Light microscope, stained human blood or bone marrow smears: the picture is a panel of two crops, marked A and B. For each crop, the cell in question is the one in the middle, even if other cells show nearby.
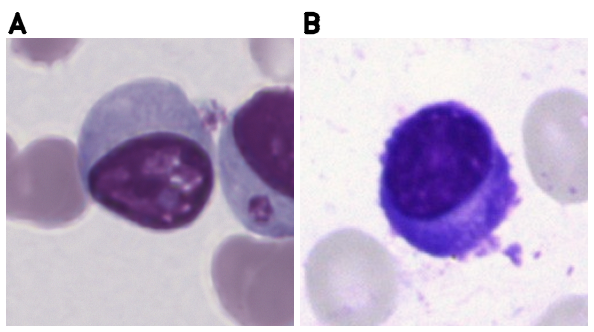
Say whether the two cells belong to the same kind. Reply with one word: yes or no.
yes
